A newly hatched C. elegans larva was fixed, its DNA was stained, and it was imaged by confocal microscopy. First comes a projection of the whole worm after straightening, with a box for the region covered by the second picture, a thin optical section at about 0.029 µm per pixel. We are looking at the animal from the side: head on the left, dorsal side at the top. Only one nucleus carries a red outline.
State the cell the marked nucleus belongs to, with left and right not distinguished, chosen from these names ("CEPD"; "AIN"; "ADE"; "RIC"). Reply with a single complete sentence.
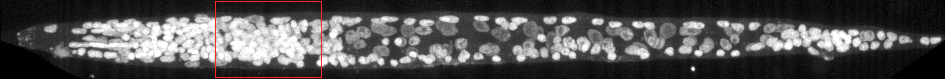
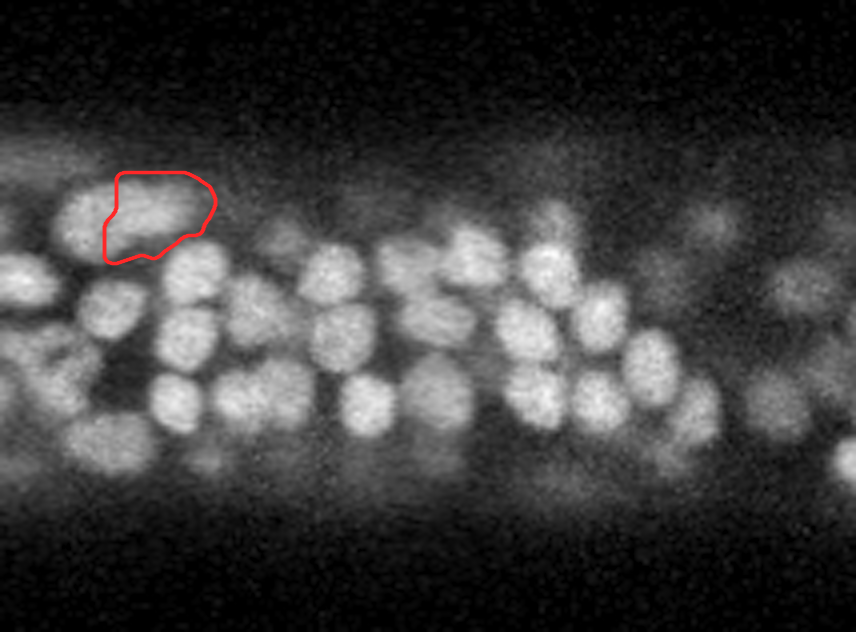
This is the nucleus of CEPD, a neuron.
